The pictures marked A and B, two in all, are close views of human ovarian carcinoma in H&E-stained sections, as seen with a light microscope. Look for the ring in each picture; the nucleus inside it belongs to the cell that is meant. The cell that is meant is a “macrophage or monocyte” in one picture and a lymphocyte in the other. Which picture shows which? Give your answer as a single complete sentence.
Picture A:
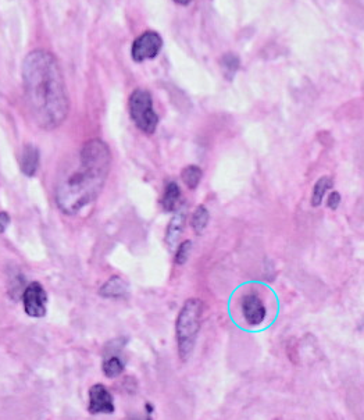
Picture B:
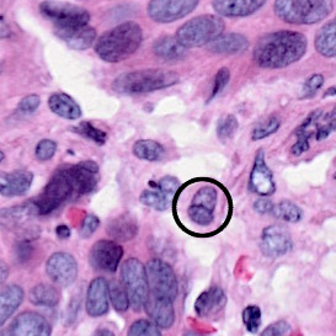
Picture A shows a lymphocyte and picture B shows a “macrophage or monocyte”.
